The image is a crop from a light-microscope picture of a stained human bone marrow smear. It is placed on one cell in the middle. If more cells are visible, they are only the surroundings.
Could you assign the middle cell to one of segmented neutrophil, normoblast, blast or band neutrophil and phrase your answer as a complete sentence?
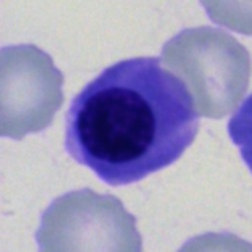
Here the centrally located cell is a normoblast.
